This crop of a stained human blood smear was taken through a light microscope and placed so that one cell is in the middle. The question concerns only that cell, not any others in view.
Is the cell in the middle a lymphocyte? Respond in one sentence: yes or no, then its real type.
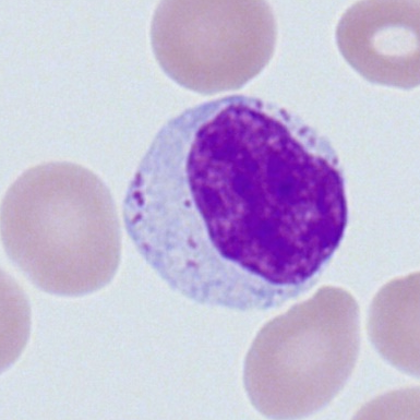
Yes, the cell shown in the middle is a lymphocyte.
